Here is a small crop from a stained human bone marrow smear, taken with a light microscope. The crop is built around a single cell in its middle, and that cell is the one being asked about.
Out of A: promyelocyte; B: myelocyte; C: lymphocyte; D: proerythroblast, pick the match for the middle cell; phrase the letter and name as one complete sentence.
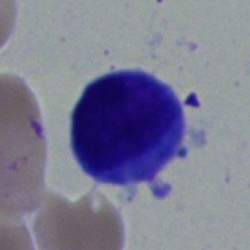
Occupying the middle of the crop is a lymphocyte, hence option C is correct.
